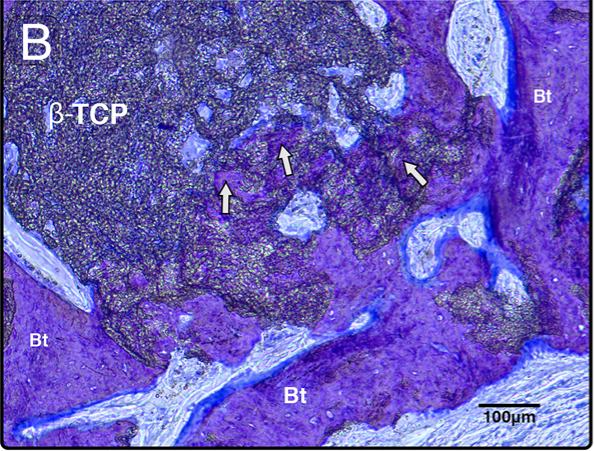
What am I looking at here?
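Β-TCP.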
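A large irregular mass of granular, speckled particle material is interspersed with purple-stained bone deposit that penetrates into it. Purple bone tissue surrounds the mass, with pale blue loose connective tissue in the intervening spaces.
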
